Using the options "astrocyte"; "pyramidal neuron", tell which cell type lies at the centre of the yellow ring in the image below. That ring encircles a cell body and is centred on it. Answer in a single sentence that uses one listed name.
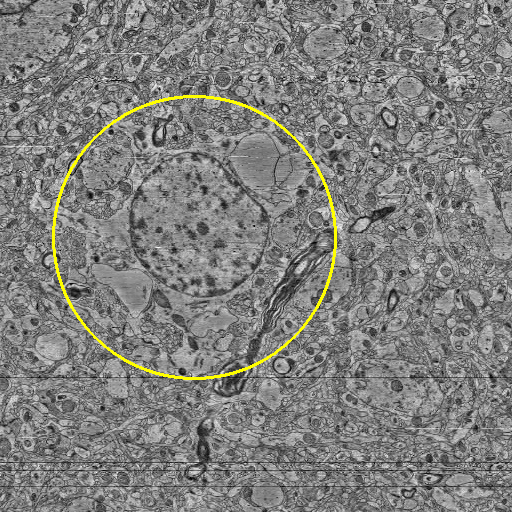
At the centre of the yellow ring lies the body of an astrocyte.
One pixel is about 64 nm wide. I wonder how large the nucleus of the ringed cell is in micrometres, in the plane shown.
Roughly 9 micrometers across, in this plane.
